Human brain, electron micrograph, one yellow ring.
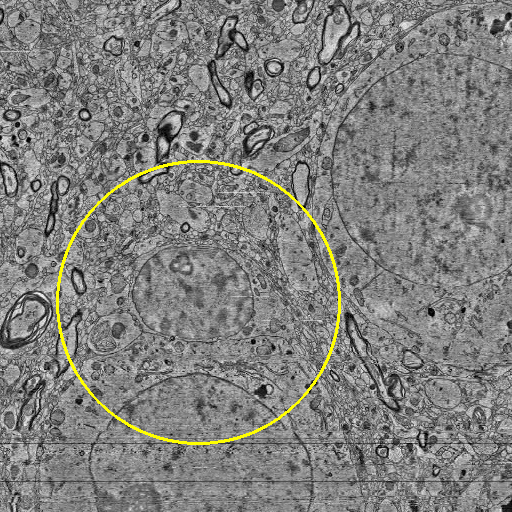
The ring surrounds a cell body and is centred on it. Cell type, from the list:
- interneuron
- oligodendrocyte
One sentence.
The yellow ring circles an oligodendrocyte.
